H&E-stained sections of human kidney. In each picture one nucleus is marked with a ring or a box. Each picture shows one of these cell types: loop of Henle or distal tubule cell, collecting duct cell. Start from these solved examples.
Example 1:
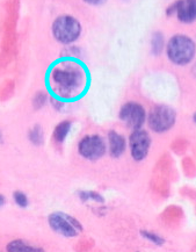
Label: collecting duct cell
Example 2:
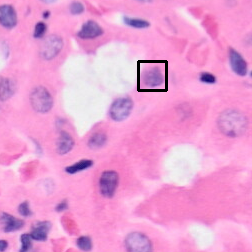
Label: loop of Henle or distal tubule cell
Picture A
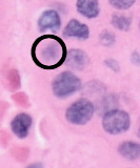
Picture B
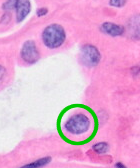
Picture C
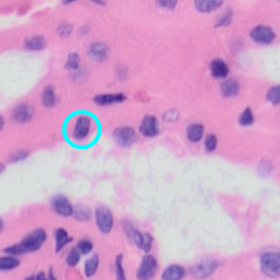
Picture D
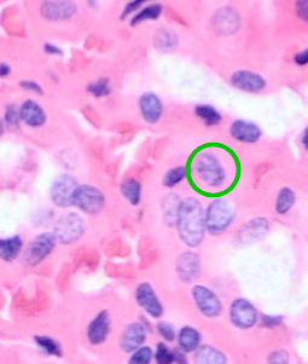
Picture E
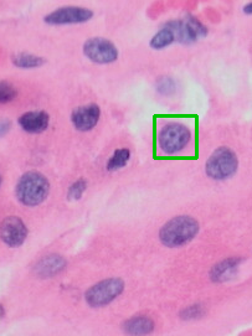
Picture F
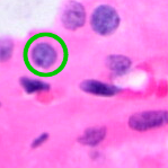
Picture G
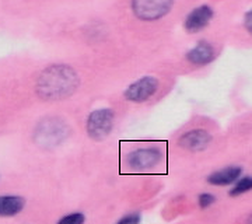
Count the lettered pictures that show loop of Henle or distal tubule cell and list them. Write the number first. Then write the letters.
Count: 5 (B, C, E, F, G)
